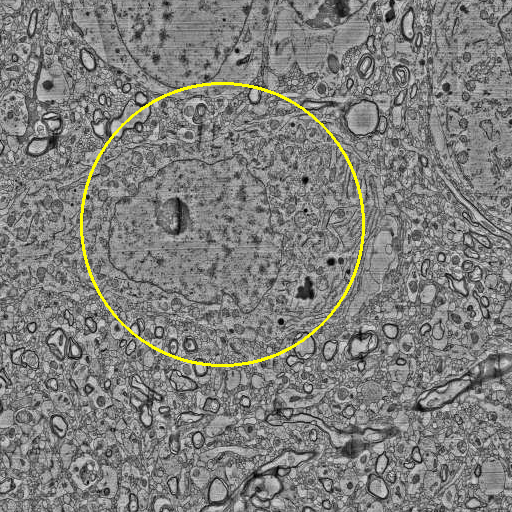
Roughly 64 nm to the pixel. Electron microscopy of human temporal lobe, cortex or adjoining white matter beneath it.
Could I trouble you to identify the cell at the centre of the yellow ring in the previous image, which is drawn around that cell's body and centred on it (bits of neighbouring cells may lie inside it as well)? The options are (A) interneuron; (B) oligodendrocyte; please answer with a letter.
A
